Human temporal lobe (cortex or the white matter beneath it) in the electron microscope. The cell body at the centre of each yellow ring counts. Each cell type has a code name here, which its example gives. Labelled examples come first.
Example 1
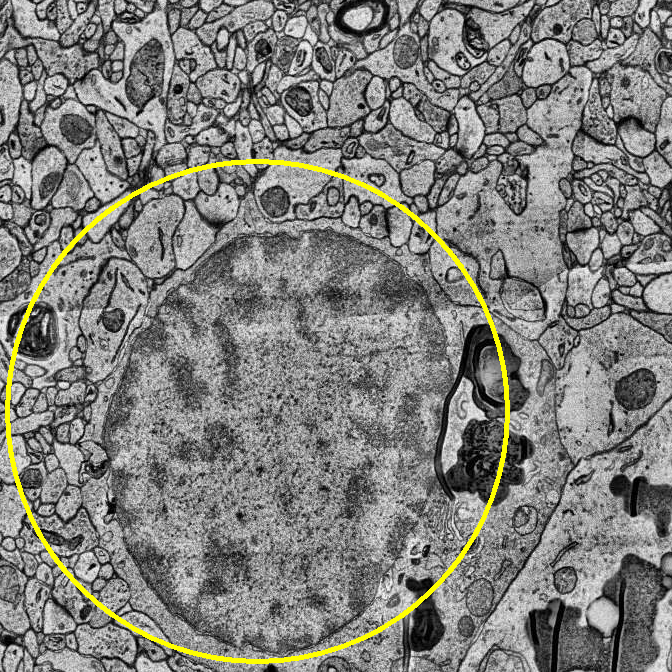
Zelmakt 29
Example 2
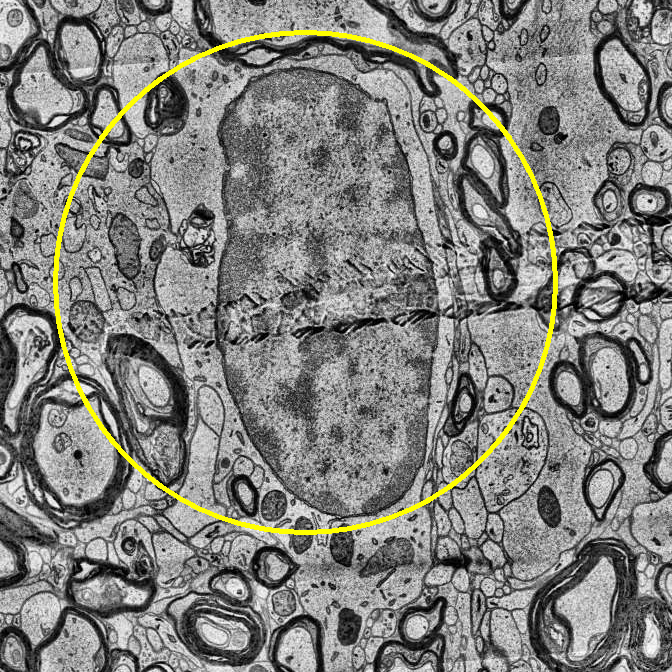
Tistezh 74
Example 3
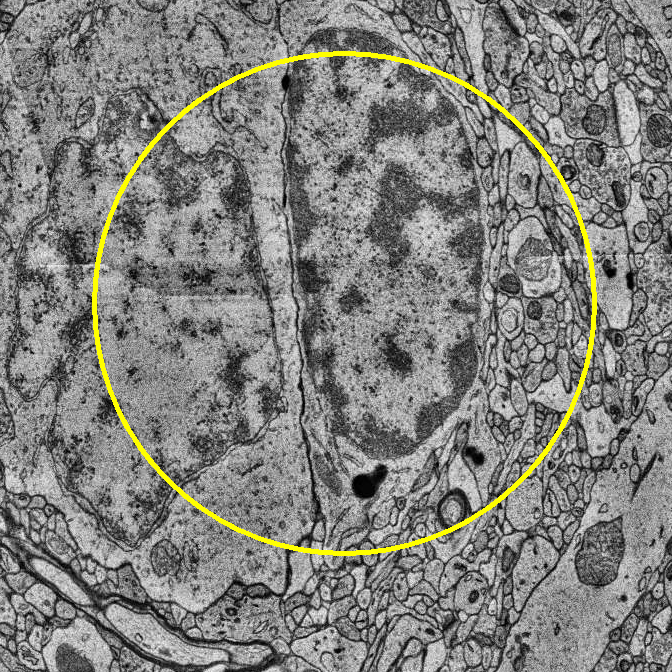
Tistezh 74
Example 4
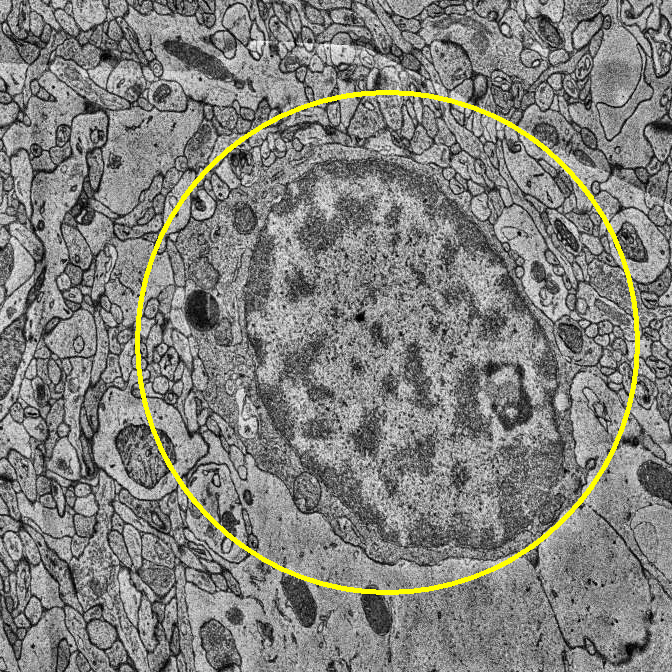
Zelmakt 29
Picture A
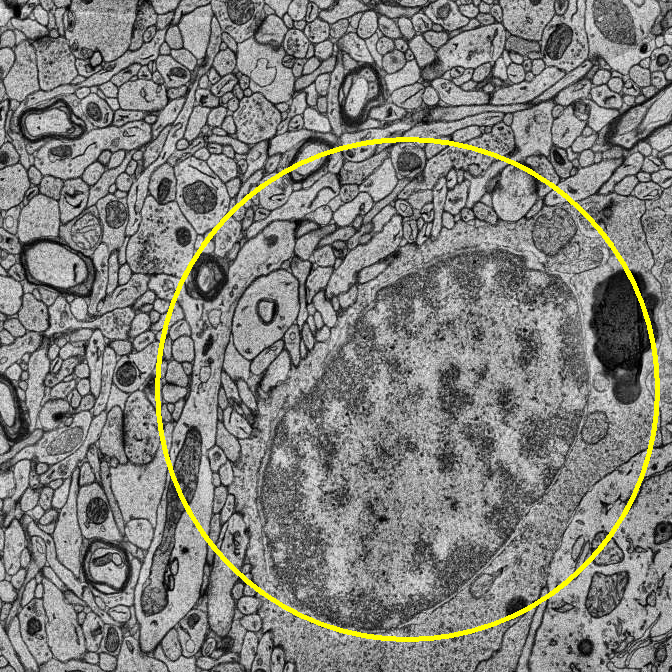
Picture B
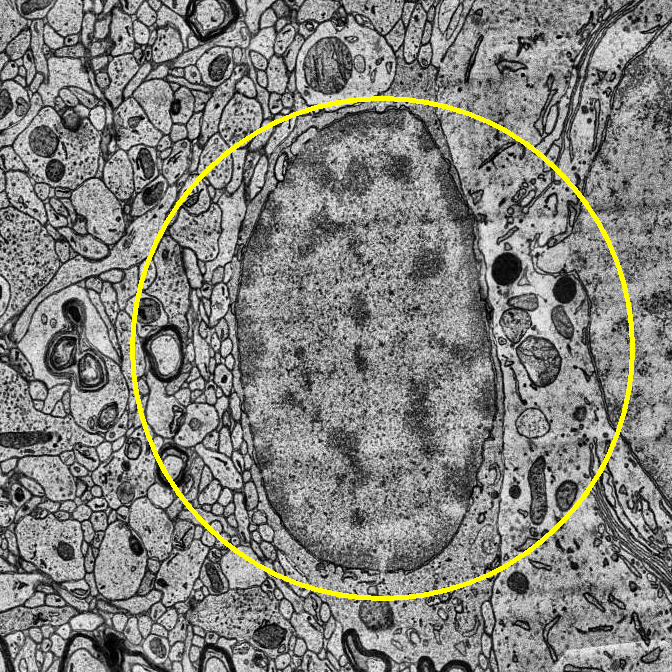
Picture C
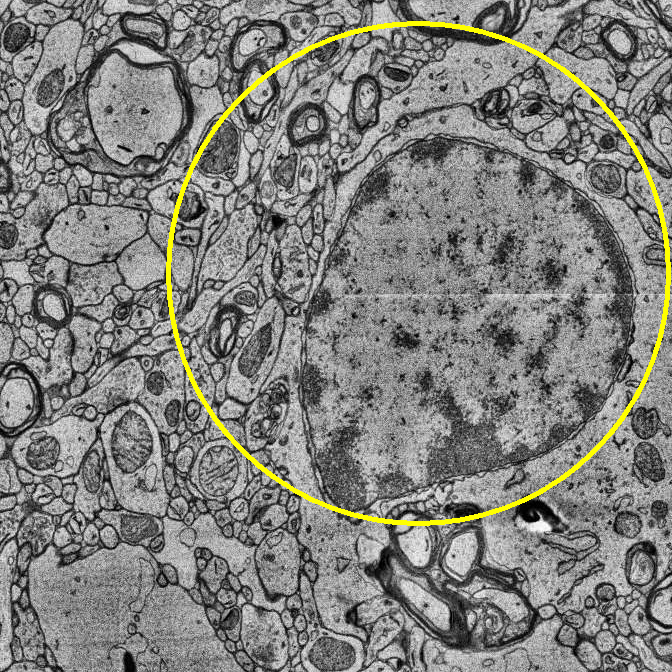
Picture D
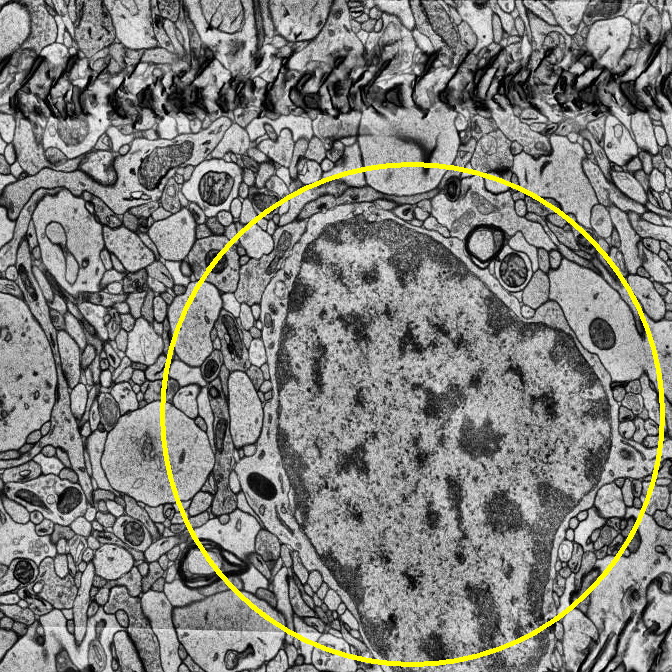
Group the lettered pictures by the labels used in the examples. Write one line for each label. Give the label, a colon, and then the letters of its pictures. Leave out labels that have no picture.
Zelmakt 29: A, B
Tistezh 74: C, D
